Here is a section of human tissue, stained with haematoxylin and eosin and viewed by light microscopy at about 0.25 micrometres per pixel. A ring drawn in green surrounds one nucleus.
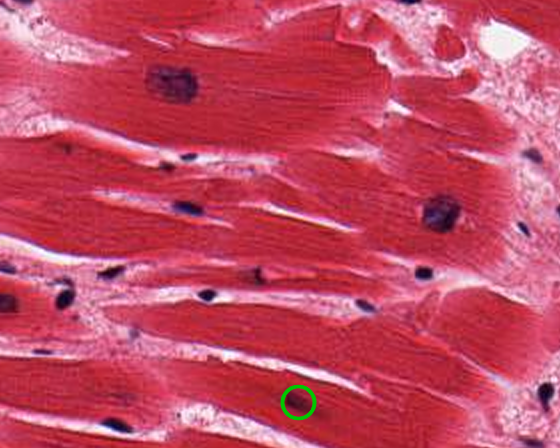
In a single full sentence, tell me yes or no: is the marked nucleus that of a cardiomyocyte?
Yes, in this section the marked nucleus belongs to a cardiomyocyte.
